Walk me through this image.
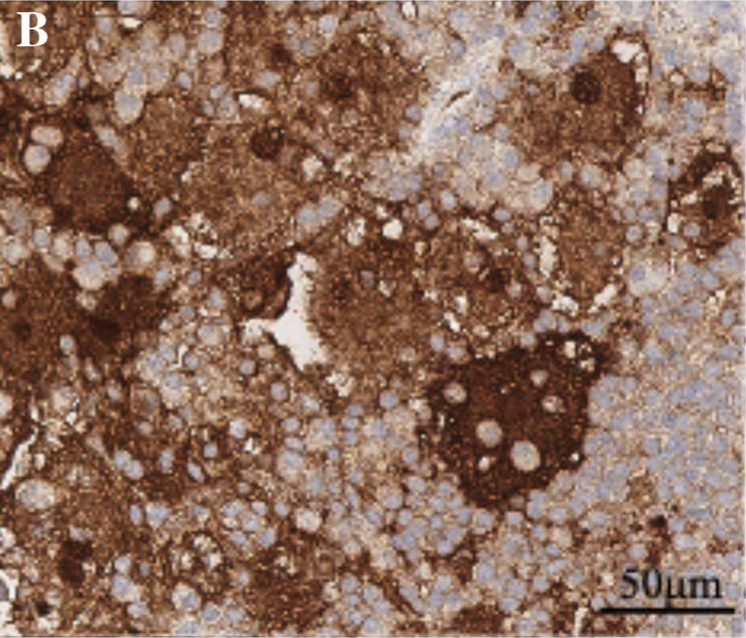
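This section shows large lesional histiocytes whose abundant cytoplasm is stained dark brown, set among many small round inflammatory cells. Within the brown cytoplasm of several histiocytes lie small round pale cells, engulfed inflammatory cells. The surrounding small cells are mostly unstained, with blue-grey round nuclei.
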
